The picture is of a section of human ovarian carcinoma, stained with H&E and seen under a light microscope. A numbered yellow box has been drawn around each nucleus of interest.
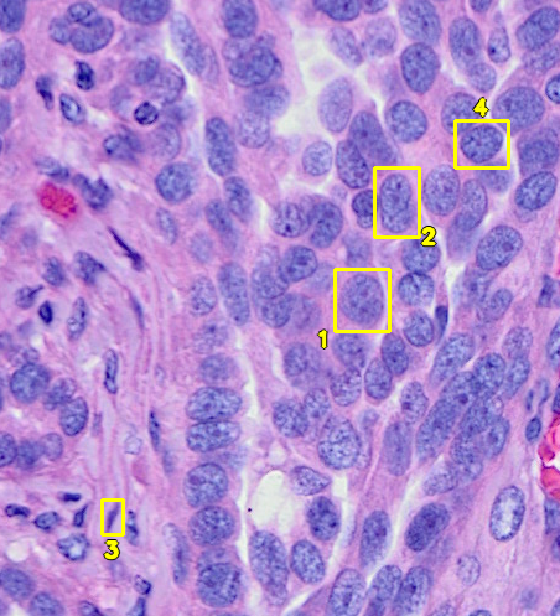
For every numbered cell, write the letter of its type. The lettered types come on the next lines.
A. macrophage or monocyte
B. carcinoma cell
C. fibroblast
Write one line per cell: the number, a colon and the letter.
1: B
2: B
3: C
4: B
